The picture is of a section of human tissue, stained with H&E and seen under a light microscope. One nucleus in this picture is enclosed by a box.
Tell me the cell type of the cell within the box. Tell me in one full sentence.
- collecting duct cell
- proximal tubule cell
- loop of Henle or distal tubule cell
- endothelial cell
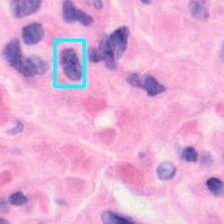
The identity of the cell within the box: it is an endothelial cell.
